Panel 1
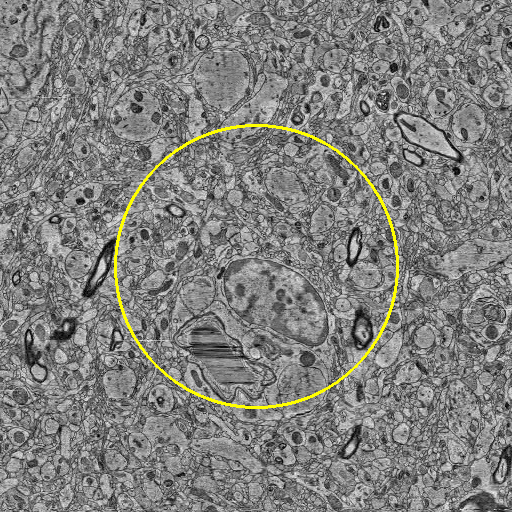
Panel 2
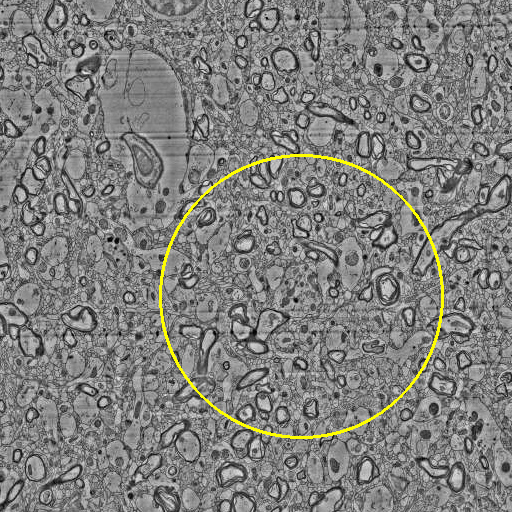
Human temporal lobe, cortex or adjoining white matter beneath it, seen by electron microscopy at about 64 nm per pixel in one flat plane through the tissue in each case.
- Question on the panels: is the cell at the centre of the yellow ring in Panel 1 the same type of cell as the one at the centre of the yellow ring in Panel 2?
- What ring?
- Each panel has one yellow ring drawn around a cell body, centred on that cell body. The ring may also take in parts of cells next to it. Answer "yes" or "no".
yes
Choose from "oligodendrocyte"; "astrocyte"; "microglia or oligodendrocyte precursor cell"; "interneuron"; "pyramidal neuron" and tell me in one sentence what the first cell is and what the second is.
Both pictures show a microglial cell or oligodendrocyte precursor cell at the centre of the ring.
